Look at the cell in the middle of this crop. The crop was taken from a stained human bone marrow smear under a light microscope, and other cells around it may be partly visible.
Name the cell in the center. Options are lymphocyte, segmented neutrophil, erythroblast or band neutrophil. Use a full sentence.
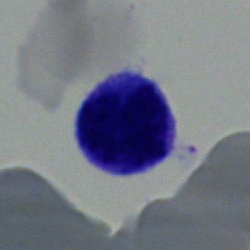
What sits at the centre of this crop is a lymphocyte.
